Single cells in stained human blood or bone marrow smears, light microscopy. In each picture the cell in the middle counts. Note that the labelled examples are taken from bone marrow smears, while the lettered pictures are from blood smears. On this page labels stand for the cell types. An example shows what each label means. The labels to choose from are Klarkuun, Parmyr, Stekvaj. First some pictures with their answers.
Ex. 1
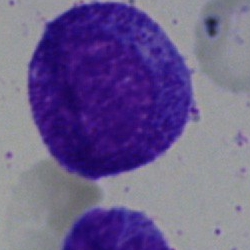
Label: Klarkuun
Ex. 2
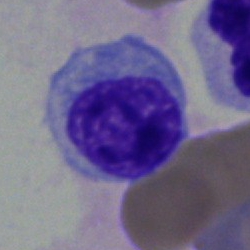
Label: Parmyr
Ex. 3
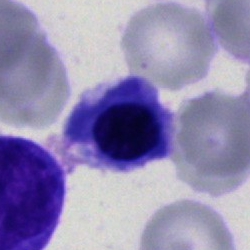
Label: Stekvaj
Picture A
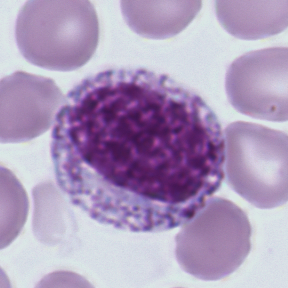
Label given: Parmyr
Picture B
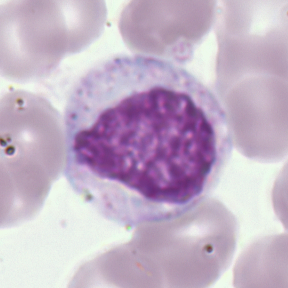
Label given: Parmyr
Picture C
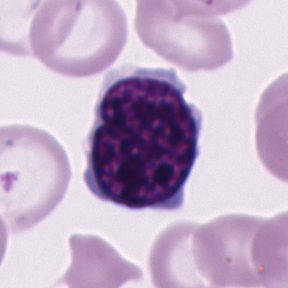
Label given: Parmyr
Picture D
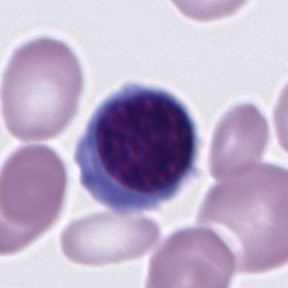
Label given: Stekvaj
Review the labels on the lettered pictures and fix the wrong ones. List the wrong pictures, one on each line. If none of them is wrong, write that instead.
Wrong: C (Parmyr); correct: Stekvaj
